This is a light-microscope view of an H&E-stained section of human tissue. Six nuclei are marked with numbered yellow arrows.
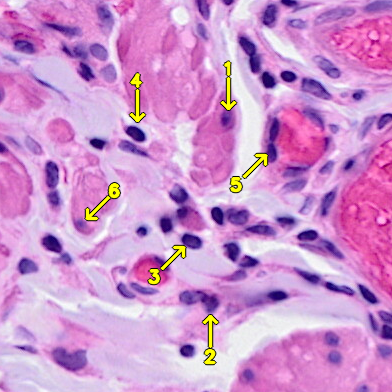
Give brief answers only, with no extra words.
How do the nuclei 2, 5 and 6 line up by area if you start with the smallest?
6, 5, 2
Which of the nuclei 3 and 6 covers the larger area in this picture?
3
